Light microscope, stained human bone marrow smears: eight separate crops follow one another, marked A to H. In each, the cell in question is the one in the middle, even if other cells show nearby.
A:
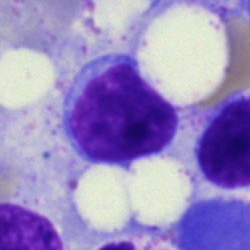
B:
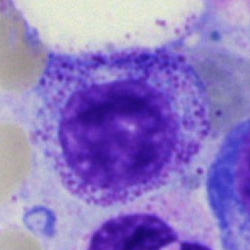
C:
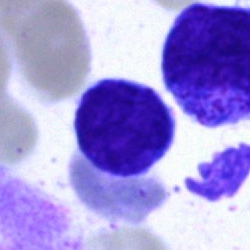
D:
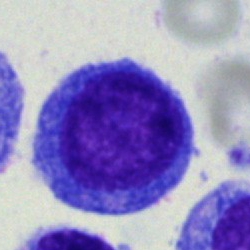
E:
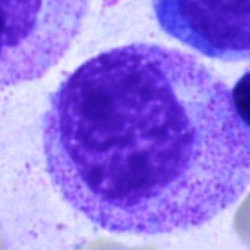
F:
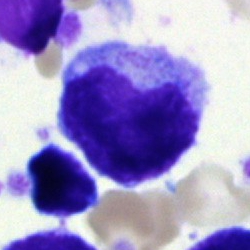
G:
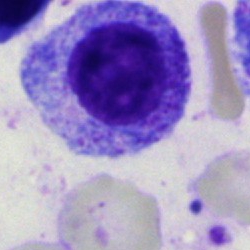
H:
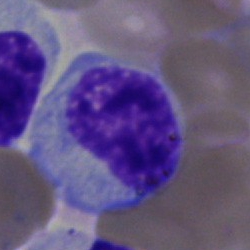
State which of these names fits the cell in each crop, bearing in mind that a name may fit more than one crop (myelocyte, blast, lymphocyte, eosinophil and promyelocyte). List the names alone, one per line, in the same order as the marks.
lymphocyte
myelocyte
lymphocyte
blast
myelocyte
myelocyte
myelocyte
myelocyte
